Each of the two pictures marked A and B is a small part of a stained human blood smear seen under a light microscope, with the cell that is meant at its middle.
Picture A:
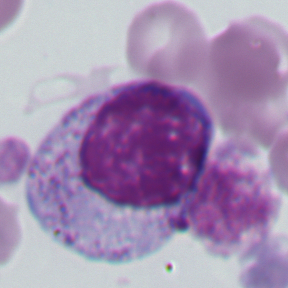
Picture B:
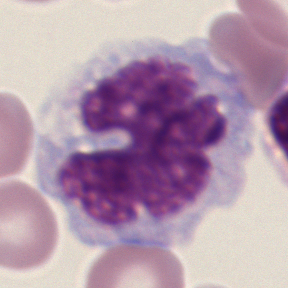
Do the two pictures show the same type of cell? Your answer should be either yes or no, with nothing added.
no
